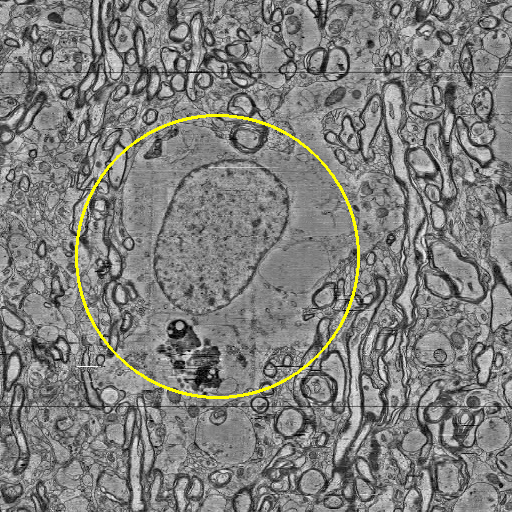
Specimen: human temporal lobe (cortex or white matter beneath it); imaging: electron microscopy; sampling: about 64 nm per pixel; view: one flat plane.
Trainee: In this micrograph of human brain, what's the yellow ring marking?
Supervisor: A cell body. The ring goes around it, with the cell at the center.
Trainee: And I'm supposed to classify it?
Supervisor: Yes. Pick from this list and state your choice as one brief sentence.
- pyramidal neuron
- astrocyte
The cell at the ring's center is an astrocyte.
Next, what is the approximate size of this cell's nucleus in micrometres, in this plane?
In this plane the nucleus is about 11 micrometres by 7.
